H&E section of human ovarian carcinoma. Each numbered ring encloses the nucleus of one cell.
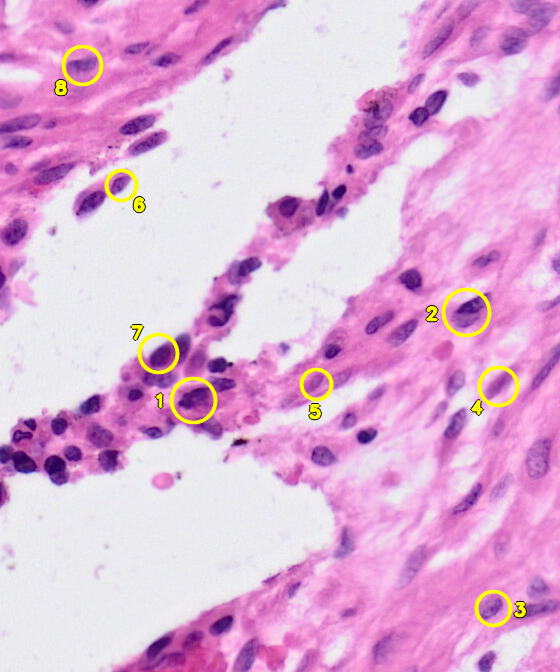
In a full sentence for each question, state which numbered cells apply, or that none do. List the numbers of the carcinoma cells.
The cells with the number labels 1, 6 and 7 are carcinoma cells.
